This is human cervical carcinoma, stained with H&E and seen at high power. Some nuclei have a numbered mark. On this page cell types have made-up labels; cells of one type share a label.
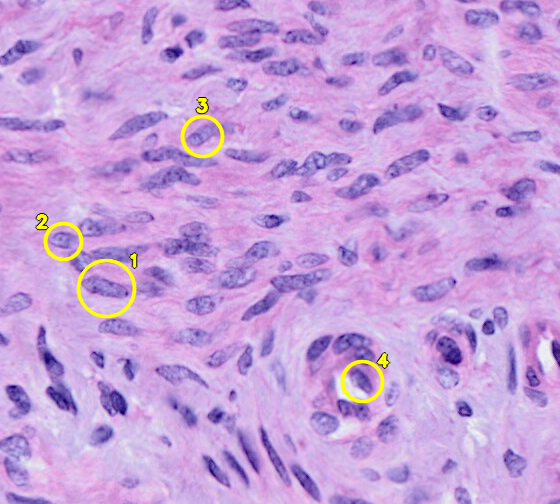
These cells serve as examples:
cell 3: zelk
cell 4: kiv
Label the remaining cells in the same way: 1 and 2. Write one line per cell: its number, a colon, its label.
1: zelk
2: zelk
